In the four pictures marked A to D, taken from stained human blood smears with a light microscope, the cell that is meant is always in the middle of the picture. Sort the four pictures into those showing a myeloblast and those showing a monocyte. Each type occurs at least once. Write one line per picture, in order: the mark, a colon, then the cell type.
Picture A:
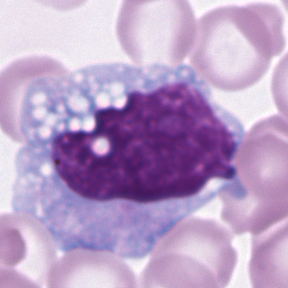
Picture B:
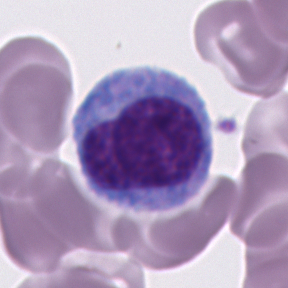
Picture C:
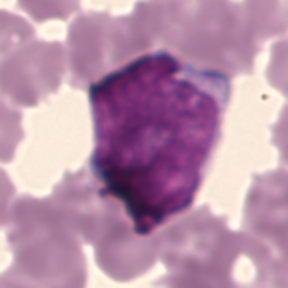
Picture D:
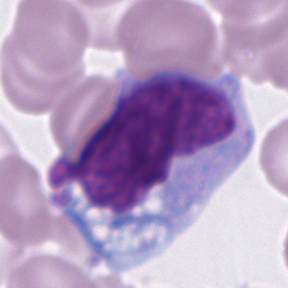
A: monocyte
B: monocyte
C: myeloblast
D: monocyte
